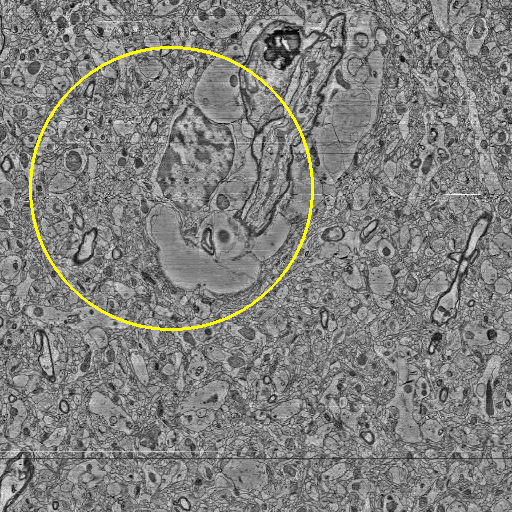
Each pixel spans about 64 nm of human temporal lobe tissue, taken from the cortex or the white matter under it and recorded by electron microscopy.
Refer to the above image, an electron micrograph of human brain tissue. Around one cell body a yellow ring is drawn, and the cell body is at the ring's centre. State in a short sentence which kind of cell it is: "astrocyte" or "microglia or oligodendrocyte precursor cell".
The centre of the ring falls on a microglial cell or oligodendrocyte precursor cell.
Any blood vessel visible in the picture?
Yes, the image shows a blood vessel.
